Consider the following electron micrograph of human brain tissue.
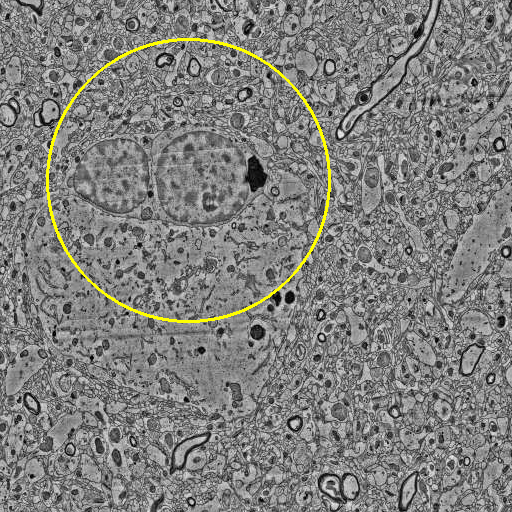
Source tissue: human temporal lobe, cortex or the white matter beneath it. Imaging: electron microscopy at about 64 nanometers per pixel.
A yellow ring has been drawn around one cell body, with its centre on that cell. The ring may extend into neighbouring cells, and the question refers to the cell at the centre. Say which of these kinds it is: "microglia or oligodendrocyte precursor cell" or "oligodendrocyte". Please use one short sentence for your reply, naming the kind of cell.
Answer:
The centre of the ring falls on an oligodendrocyte.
